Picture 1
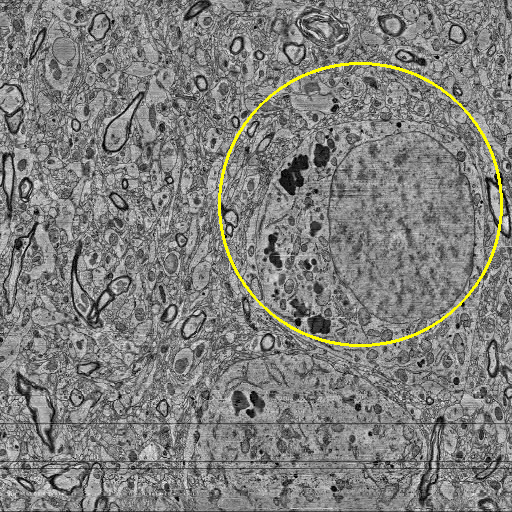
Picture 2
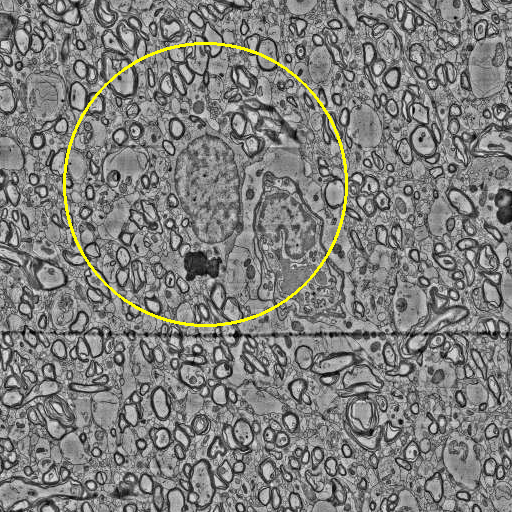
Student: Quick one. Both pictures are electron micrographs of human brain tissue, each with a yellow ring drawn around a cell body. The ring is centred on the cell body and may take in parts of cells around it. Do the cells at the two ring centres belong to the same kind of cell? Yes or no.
no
